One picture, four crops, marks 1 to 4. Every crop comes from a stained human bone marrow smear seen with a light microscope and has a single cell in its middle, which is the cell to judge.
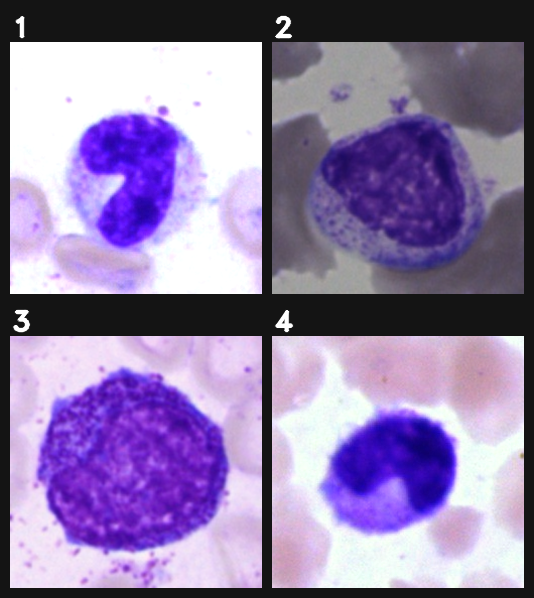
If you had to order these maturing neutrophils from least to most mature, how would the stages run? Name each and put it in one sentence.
From the least mature to the most mature, the sequence runs crop 3 (a promyelocyte), crop 2 (a myelocyte), crop 4 (a metamyelocyte) and crop 1 (a band neutrophil).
